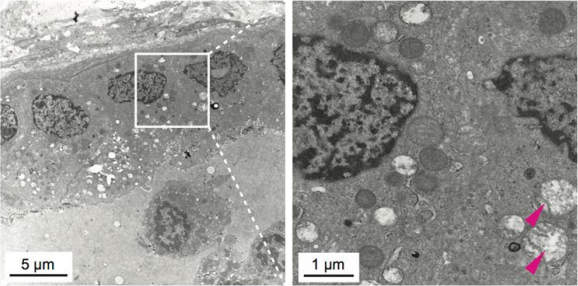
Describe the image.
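The cytoplasm holds small dark rounded mitochondria together with scattered pale, enlarged rounded structures. In the magnified area some mitochondria are swollen, with a pale interior and fragmented internal membranes, beside normal-looking denser ones.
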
